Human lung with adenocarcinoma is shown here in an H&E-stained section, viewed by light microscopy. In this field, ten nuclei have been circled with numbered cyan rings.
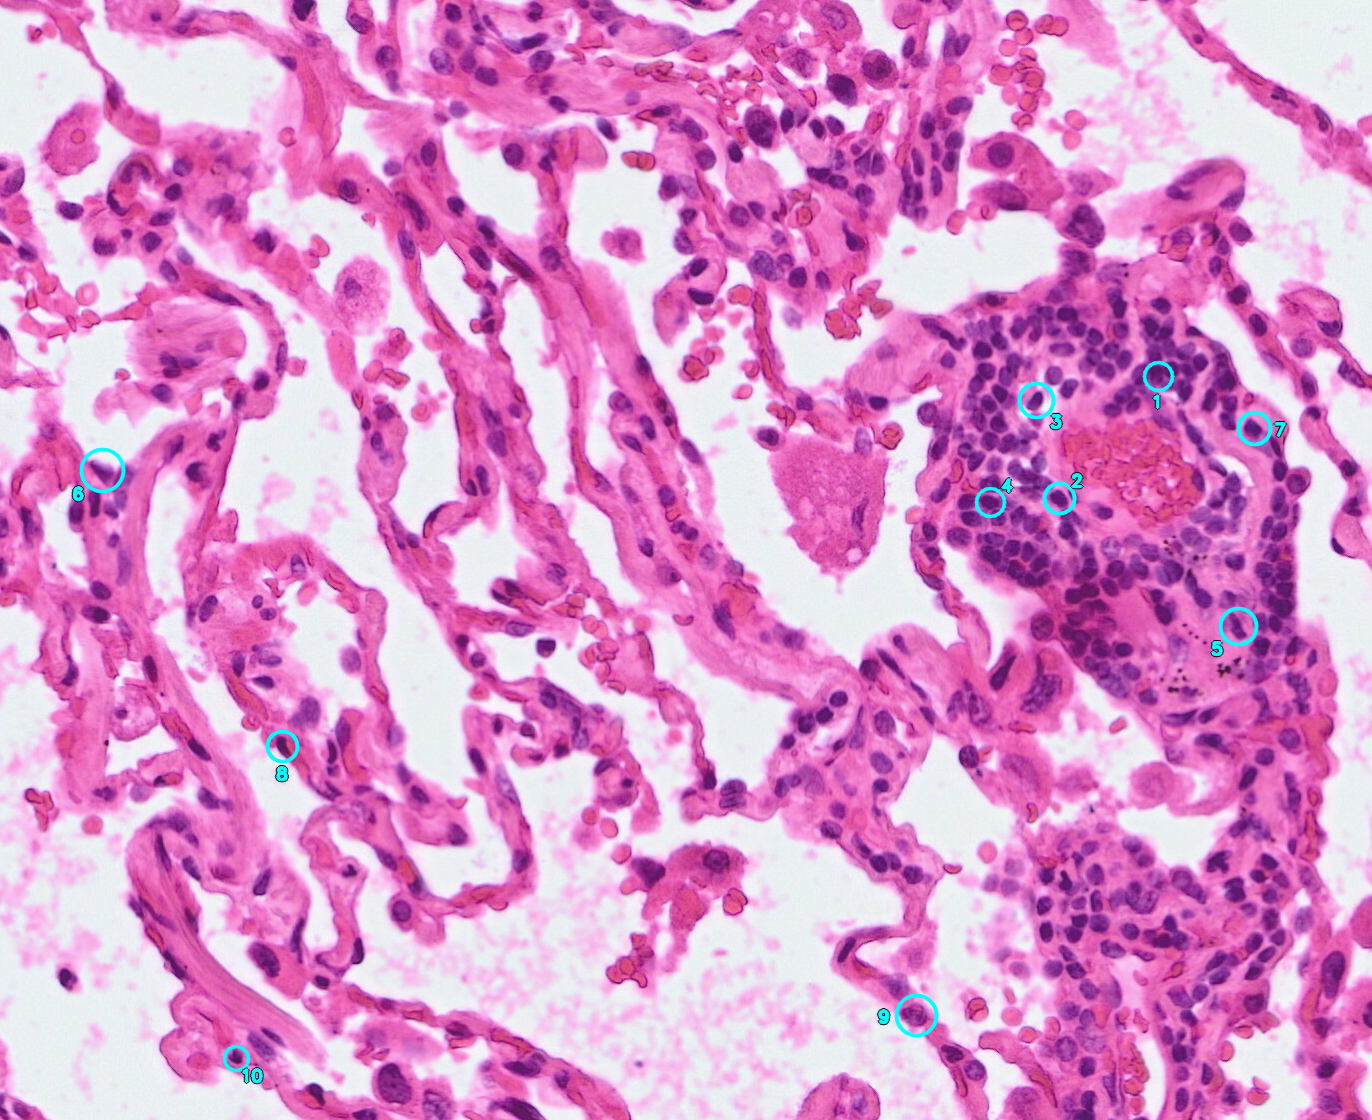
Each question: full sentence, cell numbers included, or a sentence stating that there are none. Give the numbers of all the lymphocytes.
To be specific, the cells numbered 1, 2, 3, 4, 5 and 7 are lymphocytes.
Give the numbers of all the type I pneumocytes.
The cells to which the numbers 6 and 9 refer are type I pneumocytes.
